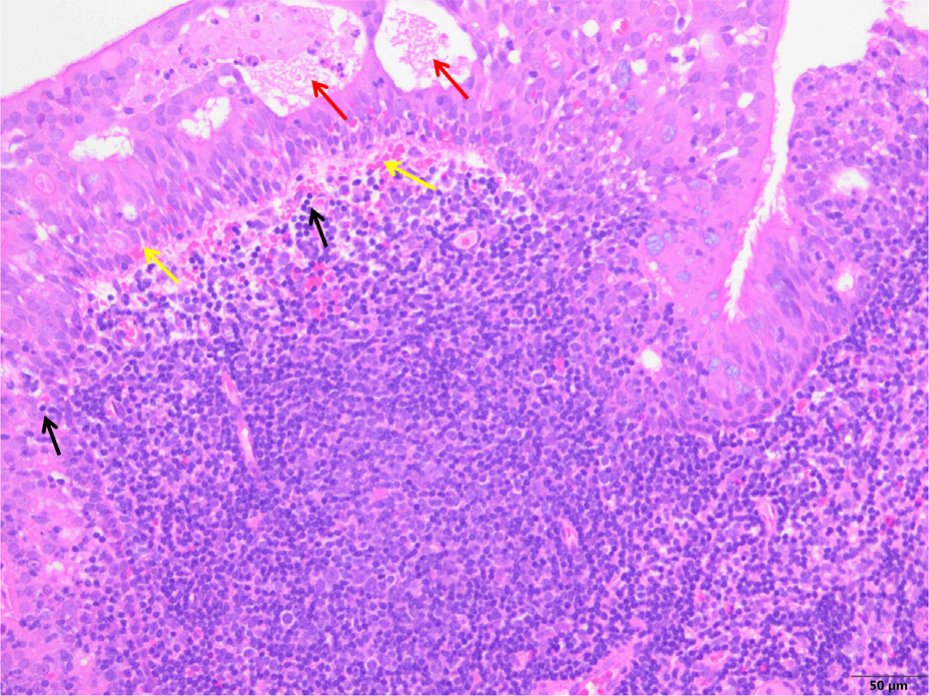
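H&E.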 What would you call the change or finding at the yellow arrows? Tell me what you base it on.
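The yellow arrows point to clusters of small bright red, anucleate cells. These red cells lie just beneath the epithelium, at the edge of the dense lymphoid tissue.
Hence: subepithelial hemorrhages.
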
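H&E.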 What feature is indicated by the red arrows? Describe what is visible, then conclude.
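The red arrows point to rounded, clear spaces within the surface epithelium. The spaces hold pale, finely granular pink material. So: small cysts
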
